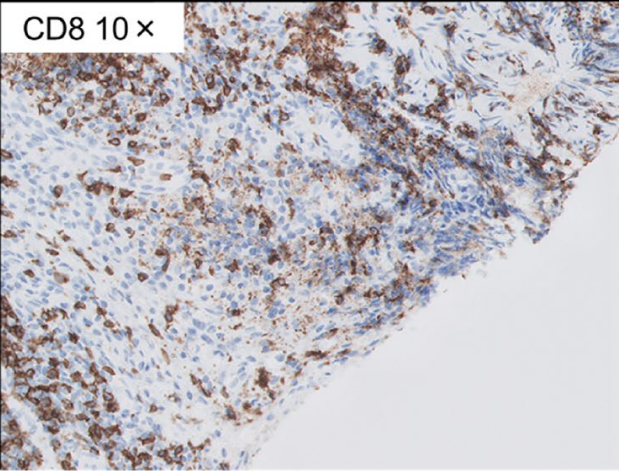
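The stained cells are small and round, with a thin brown rim around a compact nucleus and little cytoplasm. They lie in dense clusters and sheets, especially along the left edge and upper part of the field, and are also scattered singly among other cells. Between them are unstained cells with blue oval or spindle-shaped nuclei belonging to the stroma. The sheer number of brown-stained cells shows that these lymphocytes dominate the infiltrate.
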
